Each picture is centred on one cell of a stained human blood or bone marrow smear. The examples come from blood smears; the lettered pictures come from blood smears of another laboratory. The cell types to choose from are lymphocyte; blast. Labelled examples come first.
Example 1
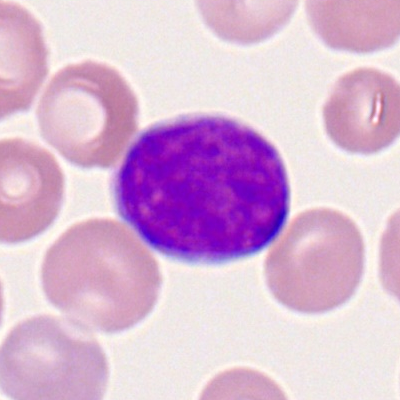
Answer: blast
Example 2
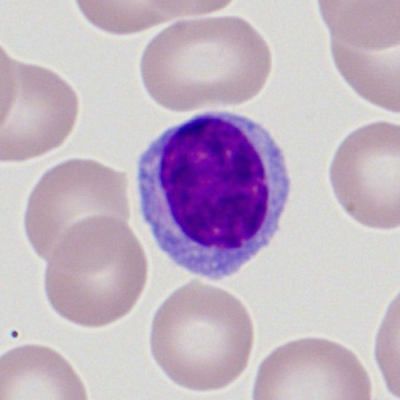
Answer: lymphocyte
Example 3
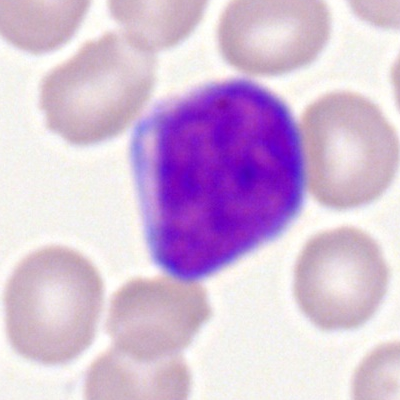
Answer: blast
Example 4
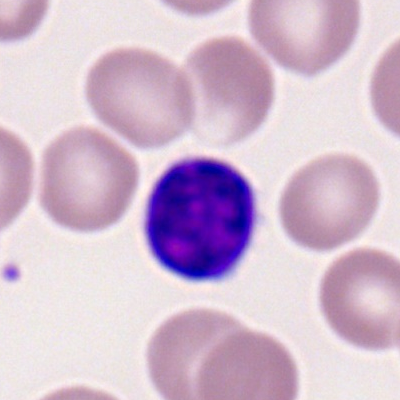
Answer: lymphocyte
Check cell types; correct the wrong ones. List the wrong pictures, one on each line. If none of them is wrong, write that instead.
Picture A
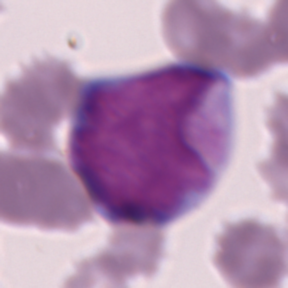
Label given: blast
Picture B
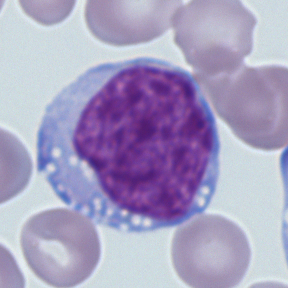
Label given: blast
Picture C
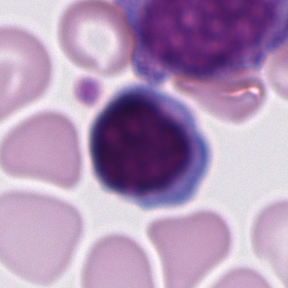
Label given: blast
C: lymphocyte, not blast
